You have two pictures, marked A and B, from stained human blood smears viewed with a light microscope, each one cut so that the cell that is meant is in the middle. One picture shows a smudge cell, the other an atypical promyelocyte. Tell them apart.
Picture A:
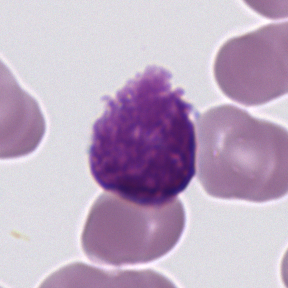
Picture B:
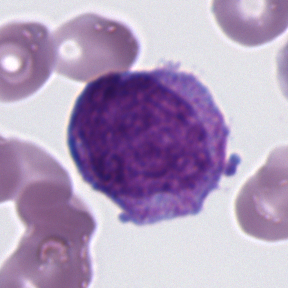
A: smudge cell
B: atypical promyelocyte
